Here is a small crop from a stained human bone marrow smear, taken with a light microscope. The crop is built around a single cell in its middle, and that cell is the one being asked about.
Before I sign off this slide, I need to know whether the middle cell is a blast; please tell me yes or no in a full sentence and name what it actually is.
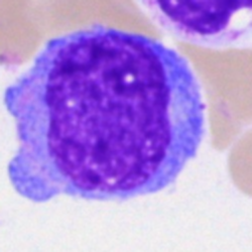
Yes, the cell that the crop is centered on is a blast.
